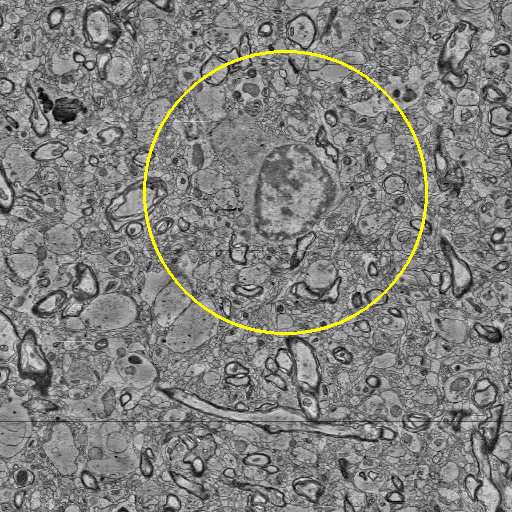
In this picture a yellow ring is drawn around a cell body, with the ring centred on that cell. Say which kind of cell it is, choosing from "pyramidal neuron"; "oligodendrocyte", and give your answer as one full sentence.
Here it is an oligodendrocyte that sits at the centre of the drawn yellow ring.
